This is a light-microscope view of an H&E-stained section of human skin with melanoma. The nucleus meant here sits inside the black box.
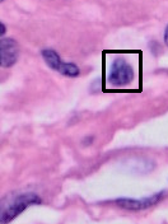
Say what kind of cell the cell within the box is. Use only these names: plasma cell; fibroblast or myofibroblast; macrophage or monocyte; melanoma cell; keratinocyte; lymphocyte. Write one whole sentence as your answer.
It is a lymphocyte that the cell within the box represents.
